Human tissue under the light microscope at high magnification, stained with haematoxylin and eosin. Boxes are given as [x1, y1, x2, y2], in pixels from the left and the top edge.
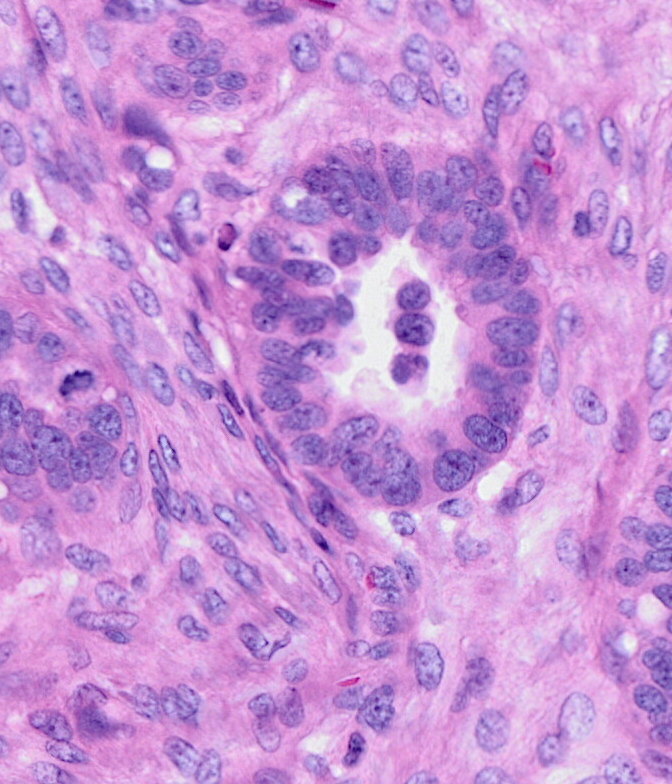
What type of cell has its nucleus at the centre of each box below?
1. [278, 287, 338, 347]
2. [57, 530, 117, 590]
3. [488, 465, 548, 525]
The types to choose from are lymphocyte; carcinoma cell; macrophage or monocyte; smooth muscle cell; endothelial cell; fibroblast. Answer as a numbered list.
1. carcinoma cell
2. fibroblast
3. fibroblast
